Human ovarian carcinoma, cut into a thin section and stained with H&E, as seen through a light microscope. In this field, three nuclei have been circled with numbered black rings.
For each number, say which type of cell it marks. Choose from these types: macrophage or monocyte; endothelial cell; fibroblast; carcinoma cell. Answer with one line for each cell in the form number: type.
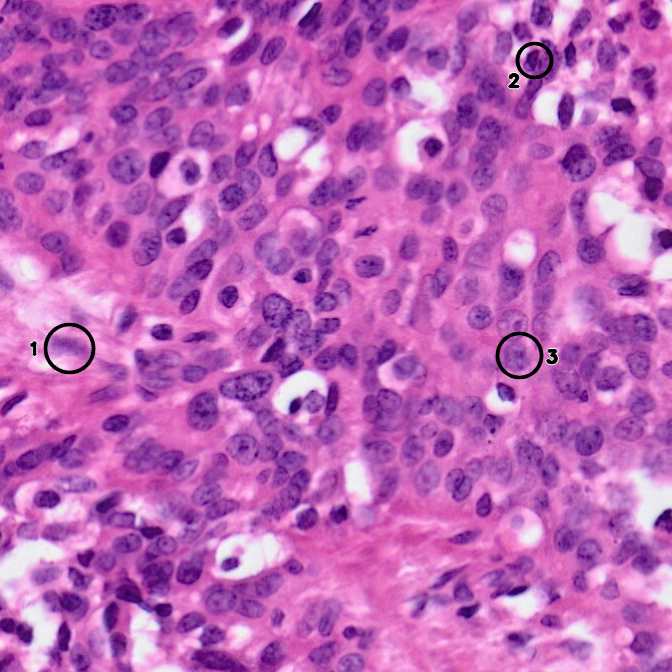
1: fibroblast
2: carcinoma cell
3: carcinoma cell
